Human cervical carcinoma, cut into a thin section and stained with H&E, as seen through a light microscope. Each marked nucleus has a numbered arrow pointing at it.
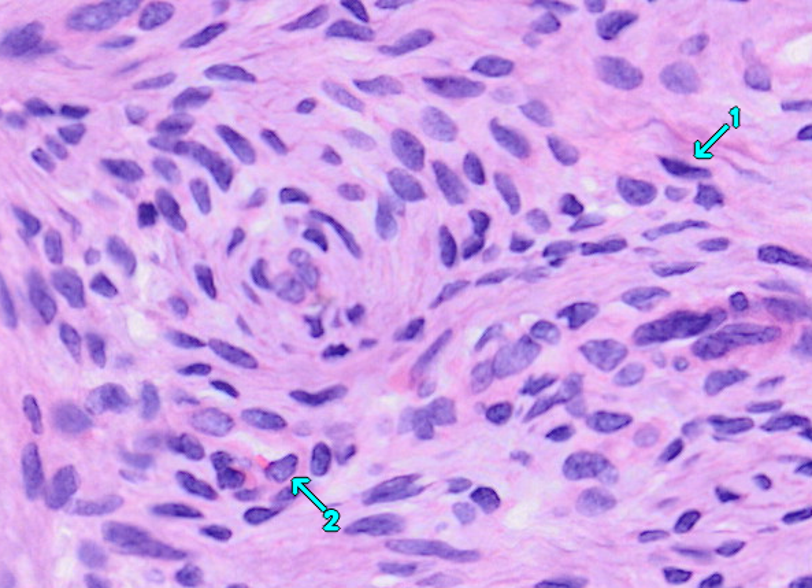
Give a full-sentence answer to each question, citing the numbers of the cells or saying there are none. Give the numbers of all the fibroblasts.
Unlike the other numbered cells, cell 1 is a fibroblast.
